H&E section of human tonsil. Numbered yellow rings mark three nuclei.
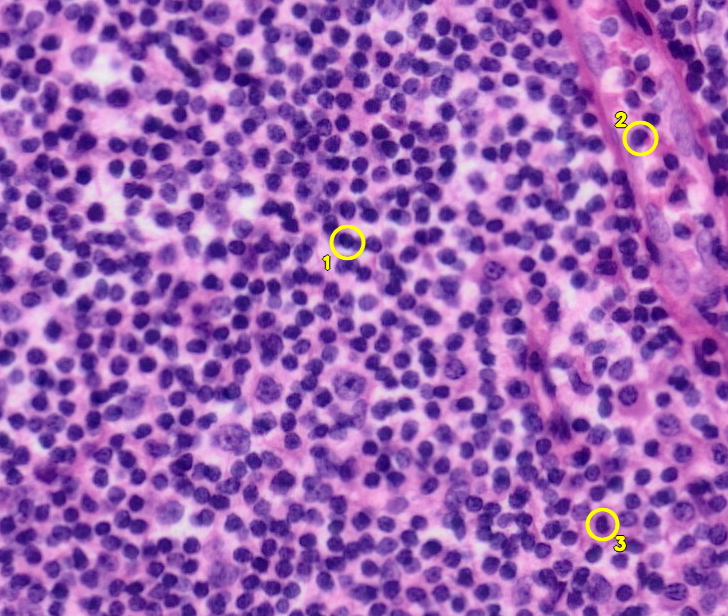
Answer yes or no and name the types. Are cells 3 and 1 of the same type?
No, while cell 3 is a plasma cell, cell 1 is a small lymphocyte.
